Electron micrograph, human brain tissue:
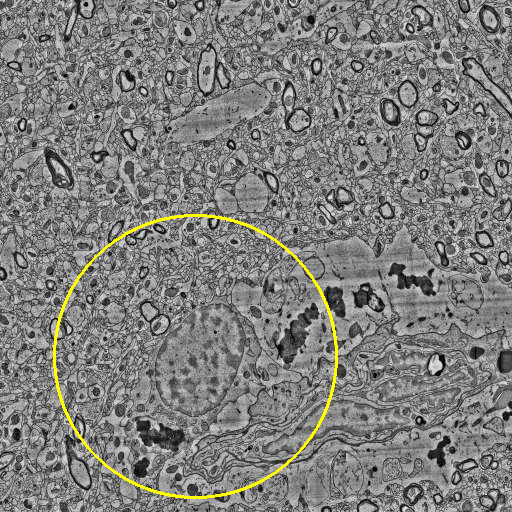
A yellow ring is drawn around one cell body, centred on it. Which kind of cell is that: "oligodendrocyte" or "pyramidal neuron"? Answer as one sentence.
It is an oligodendrocyte at the centre of the ring.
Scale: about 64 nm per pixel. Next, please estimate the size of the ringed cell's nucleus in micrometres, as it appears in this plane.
In this plane the nucleus is about 7 micrometres by 5.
